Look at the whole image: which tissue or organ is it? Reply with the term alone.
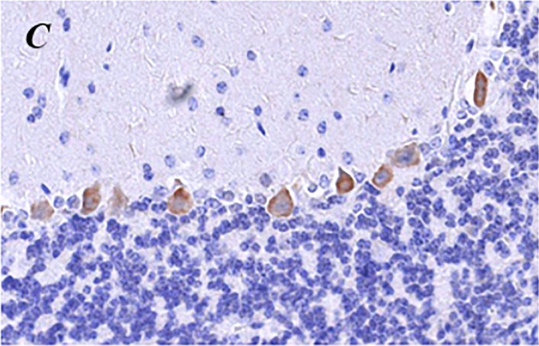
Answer: Cerebellum.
